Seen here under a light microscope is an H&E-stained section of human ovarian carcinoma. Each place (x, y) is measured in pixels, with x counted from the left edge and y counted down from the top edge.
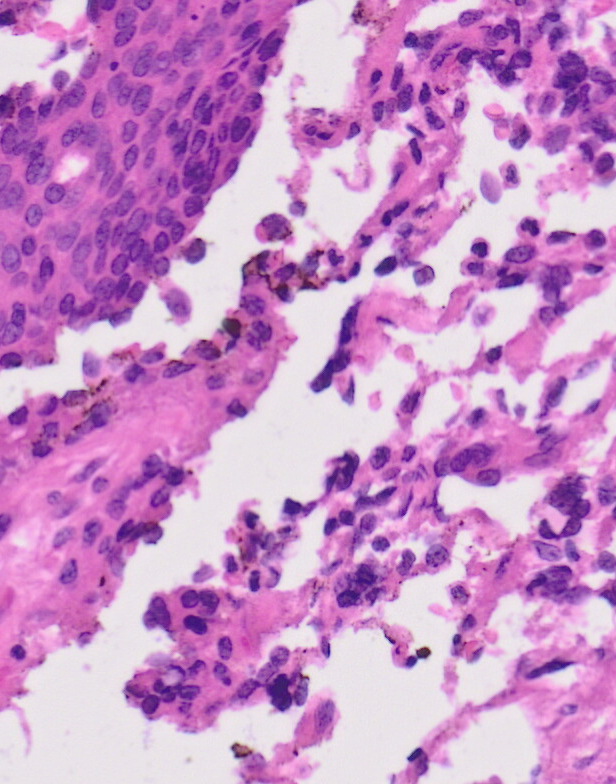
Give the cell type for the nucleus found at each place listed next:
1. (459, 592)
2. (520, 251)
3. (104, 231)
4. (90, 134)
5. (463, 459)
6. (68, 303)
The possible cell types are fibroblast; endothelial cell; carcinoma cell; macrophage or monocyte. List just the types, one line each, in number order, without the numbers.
macrophage or monocyte
macrophage or monocyte
carcinoma cell
carcinoma cell
carcinoma cell
carcinoma cell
